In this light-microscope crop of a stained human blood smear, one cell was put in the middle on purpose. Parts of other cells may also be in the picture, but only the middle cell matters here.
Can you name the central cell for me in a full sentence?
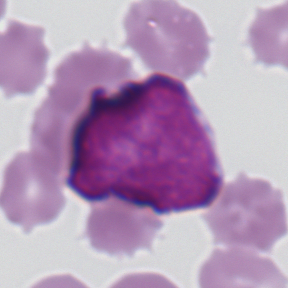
Standing at the centre of this crop is a myeloblast.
